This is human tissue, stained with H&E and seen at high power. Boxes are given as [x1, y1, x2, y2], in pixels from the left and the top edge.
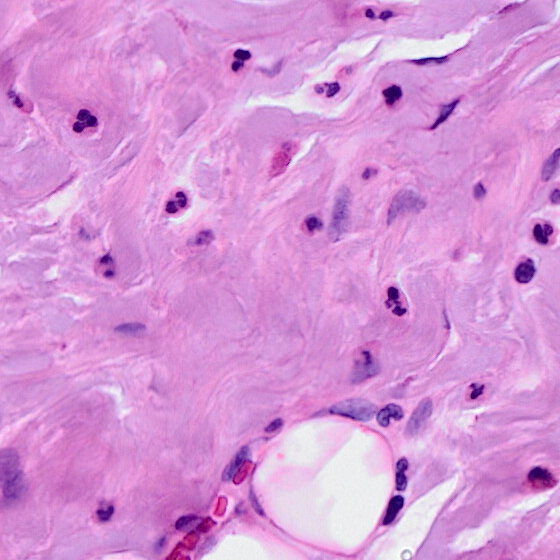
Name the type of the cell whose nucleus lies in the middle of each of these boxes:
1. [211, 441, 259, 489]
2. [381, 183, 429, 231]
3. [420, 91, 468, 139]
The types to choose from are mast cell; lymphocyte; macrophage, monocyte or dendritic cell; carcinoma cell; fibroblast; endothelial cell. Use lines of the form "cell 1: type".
cell 1: endothelial cell
cell 2: fibroblast
cell 3: fibroblast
